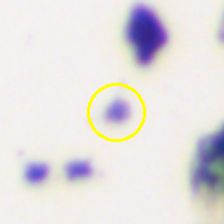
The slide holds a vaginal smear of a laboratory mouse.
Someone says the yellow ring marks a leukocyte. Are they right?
They are right: it is a leukocyte.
